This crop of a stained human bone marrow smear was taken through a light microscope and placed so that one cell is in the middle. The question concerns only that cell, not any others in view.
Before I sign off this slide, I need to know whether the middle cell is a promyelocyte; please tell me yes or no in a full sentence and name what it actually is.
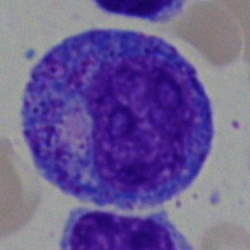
Yes, shown in the middle of the crop is a promyelocyte.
